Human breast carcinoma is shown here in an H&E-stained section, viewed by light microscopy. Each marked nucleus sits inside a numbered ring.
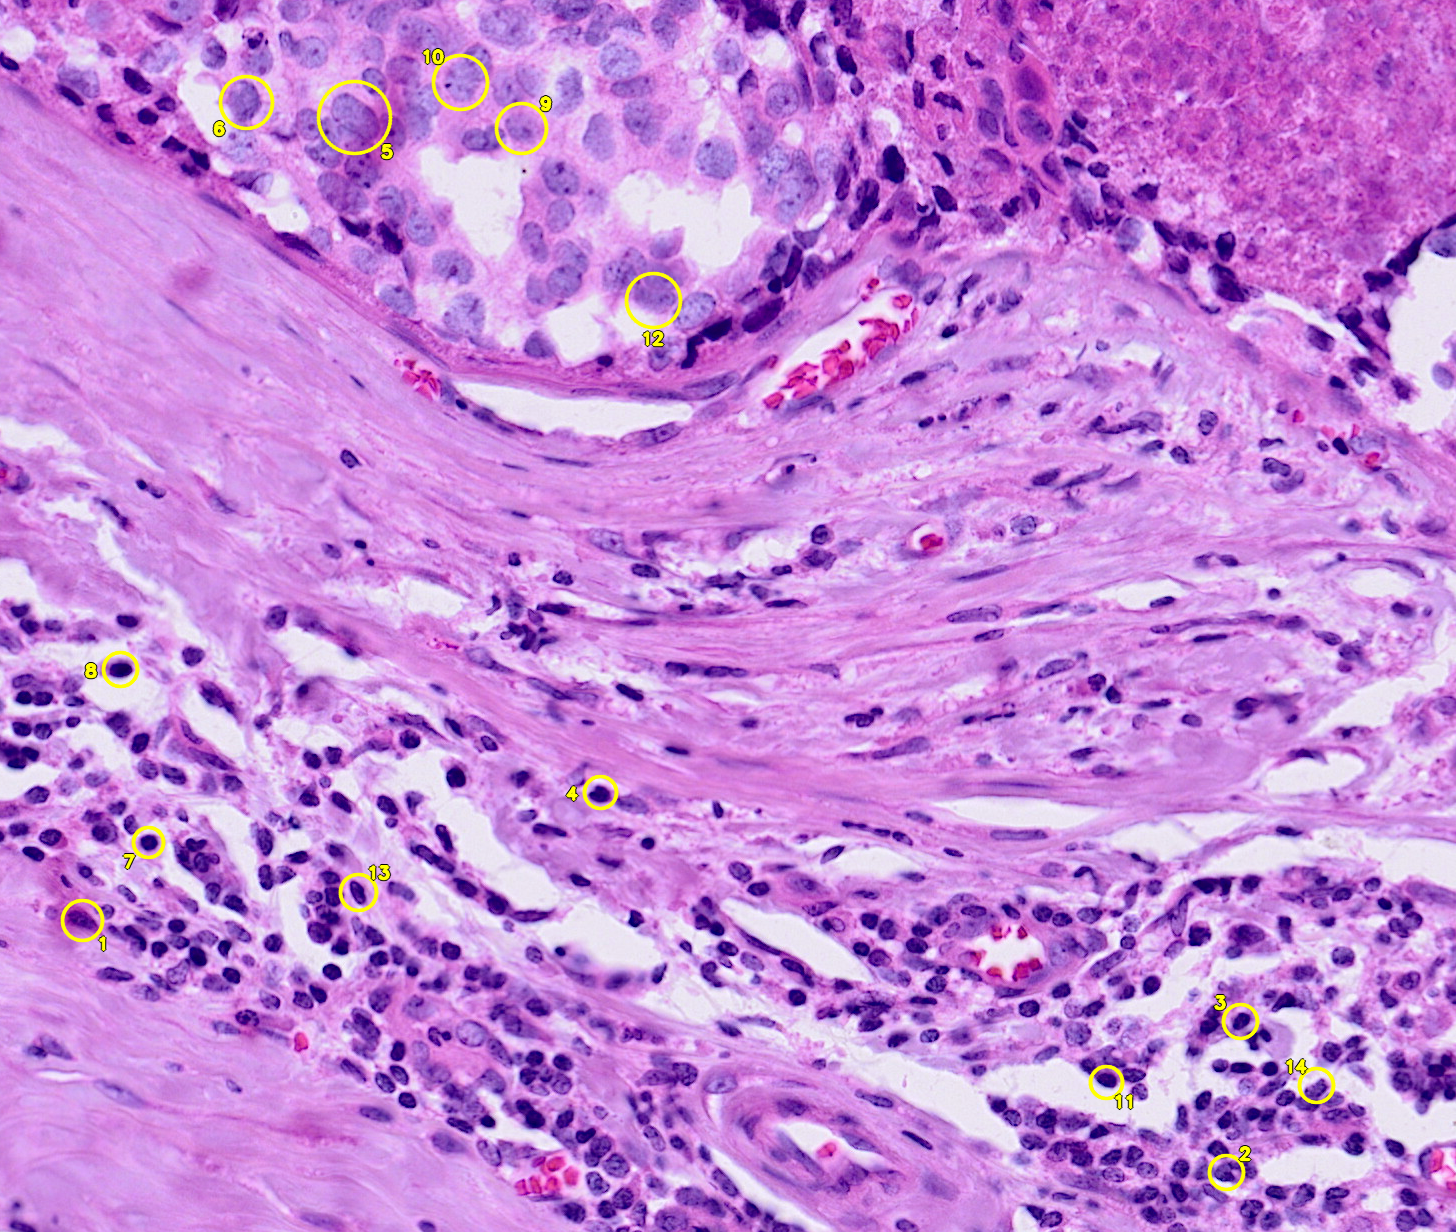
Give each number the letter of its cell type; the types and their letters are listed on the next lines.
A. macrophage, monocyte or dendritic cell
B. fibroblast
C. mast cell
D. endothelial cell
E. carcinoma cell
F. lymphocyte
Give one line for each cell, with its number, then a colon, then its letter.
1: C
2: F
3: F
4: F
5: E
6: E
7: F
8: F
9: E
10: E
11: F
12: E
13: F
14: F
